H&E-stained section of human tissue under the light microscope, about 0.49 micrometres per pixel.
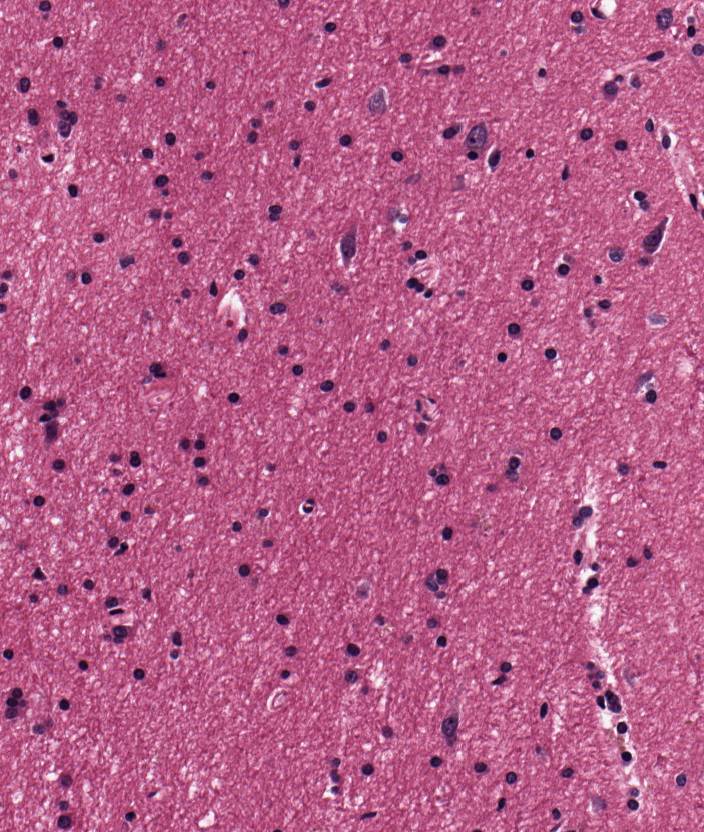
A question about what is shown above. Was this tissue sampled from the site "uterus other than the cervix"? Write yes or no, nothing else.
no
